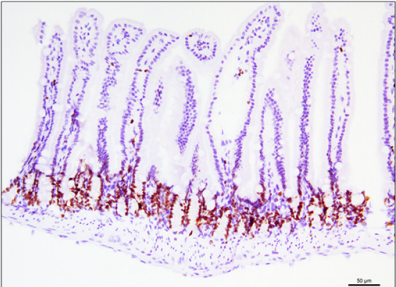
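Intestinal mucosa with tall slender villi, each covered by a single layer of columnar epithelium with blue nuclei, rising above a band of crypts. Brown-stained nuclei crowd the crypts at the bases of the villi, while the villi themselves are nearly free of brown; beneath the crypts lie the submucosa and the muscle layer.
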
